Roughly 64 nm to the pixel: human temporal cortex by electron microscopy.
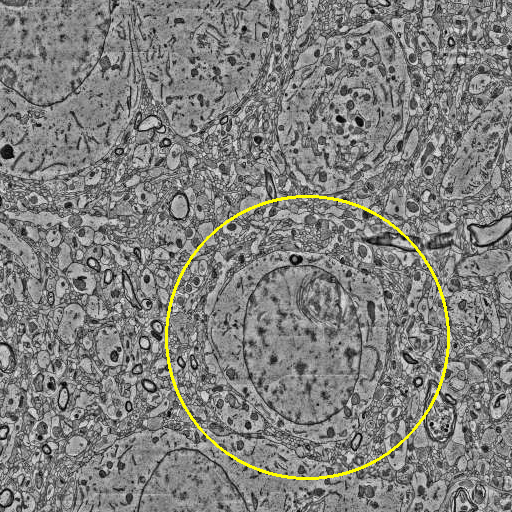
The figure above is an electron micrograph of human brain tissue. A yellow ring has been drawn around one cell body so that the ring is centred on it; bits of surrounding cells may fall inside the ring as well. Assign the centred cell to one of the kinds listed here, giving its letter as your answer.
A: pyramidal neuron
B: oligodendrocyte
A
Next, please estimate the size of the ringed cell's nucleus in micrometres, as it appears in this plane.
About 11 micrometres by about 8 micrometres in this plane.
